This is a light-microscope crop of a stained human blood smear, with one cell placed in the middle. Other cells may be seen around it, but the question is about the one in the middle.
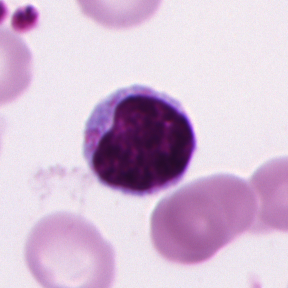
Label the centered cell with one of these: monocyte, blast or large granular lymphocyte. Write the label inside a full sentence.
This crop has a large granular lymphocyte at its centre.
